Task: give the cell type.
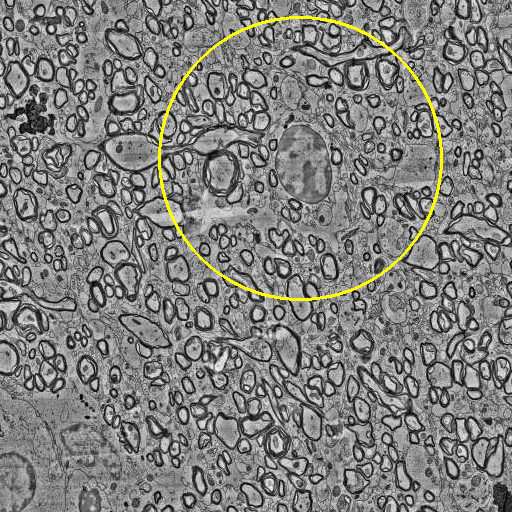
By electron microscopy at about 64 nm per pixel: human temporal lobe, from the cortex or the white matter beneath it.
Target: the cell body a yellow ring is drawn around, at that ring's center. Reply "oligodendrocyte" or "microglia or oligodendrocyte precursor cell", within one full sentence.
In this picture, the cell whose body lies at the ring's center is a microglial cell or oligodendrocyte precursor cell.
